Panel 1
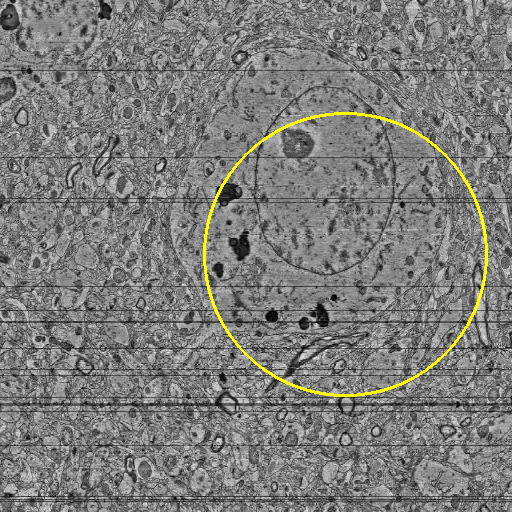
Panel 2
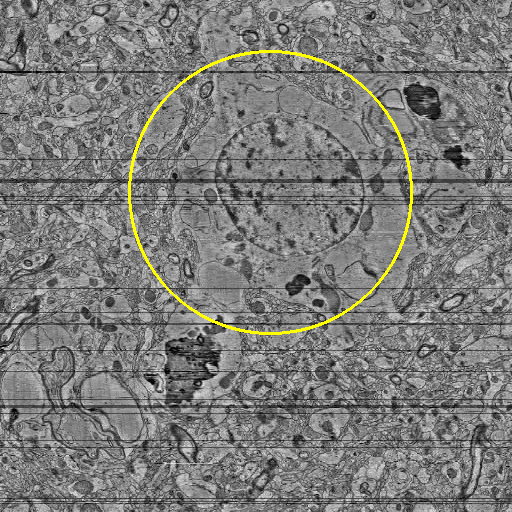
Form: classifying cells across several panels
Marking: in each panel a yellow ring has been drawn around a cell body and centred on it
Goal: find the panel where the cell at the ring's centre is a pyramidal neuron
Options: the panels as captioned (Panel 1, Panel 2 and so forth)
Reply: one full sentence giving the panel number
Panel 1 shows the wanted cell at the centre of its ring.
